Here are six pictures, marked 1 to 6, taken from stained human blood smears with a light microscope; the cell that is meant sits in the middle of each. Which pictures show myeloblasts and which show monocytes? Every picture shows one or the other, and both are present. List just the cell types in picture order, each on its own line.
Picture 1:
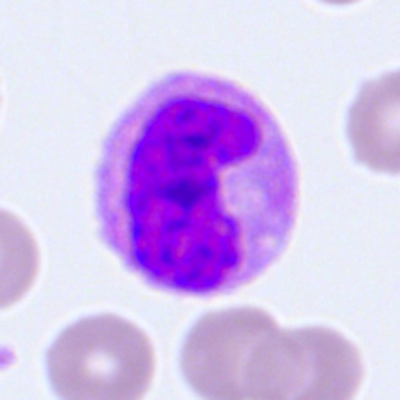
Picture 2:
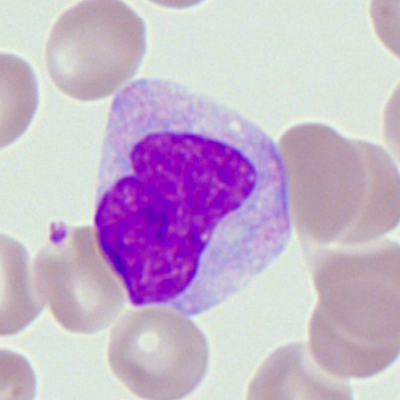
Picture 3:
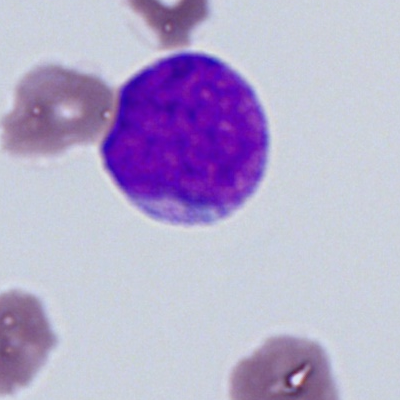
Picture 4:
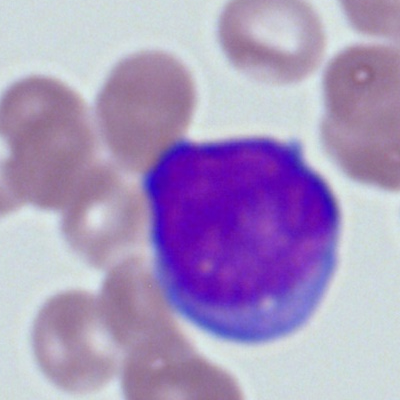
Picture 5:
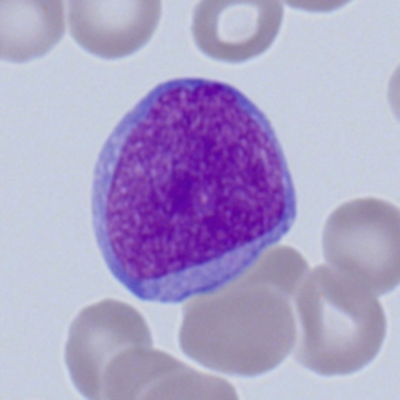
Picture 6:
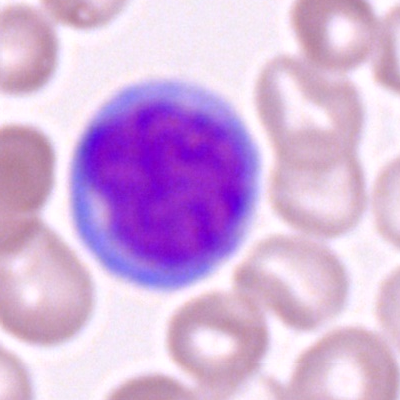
monocyte
monocyte
myeloblast
myeloblast
myeloblast
monocyte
